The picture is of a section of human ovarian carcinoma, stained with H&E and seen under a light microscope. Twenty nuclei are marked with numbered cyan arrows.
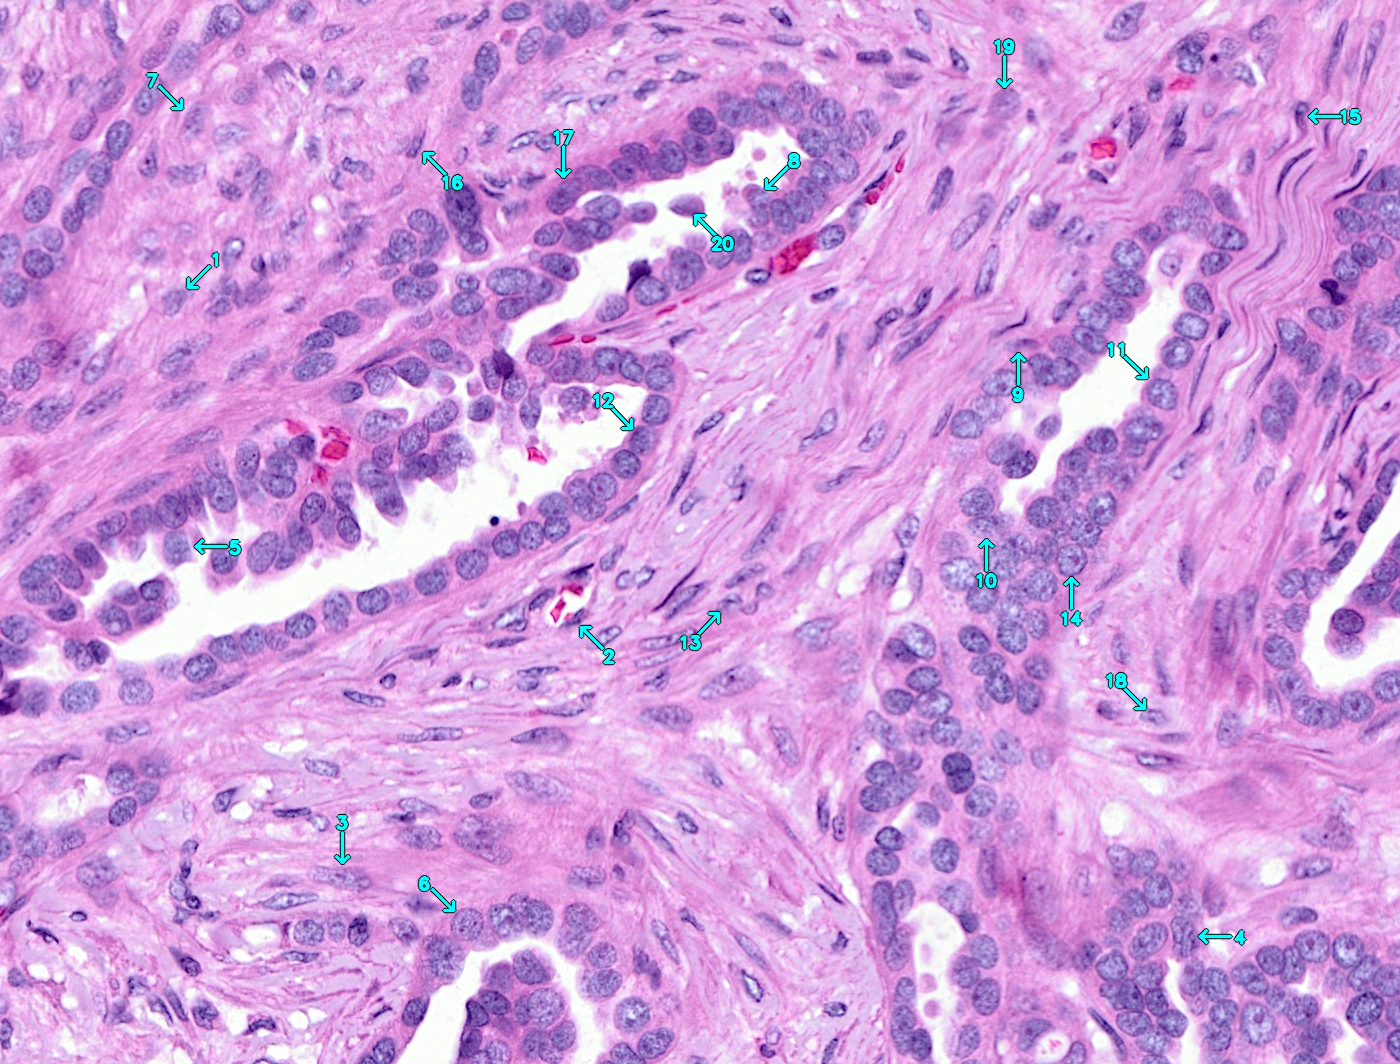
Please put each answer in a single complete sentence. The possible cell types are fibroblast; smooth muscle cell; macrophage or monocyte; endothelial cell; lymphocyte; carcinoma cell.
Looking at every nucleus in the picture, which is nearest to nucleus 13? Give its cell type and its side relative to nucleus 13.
A fibroblast lies closest, to the right of nucleus 13.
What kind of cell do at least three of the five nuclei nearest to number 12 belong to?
Carcinoma cells make up most of the five nuclei closest to number 12.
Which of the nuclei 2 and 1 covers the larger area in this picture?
It is nucleus 1, which covers about 2.5 times the area of nucleus 2.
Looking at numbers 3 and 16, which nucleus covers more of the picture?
Nucleus 3 is the larger one, covering about 3 times the area of nucleus 16.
